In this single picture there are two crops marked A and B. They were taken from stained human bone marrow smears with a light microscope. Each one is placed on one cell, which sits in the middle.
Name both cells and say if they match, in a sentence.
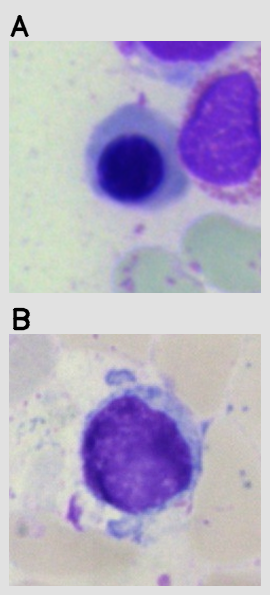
No, just to correct that: crop A shows a normoblast, crop B shows a lymphocyte.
